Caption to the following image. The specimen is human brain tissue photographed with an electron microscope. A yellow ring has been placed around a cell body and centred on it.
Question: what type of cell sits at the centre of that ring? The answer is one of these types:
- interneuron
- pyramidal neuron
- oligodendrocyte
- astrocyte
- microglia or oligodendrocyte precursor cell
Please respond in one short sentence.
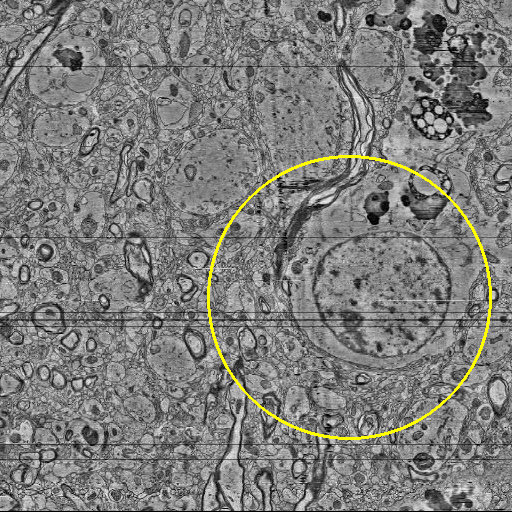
The ring surrounds the cell body of an astrocyte.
